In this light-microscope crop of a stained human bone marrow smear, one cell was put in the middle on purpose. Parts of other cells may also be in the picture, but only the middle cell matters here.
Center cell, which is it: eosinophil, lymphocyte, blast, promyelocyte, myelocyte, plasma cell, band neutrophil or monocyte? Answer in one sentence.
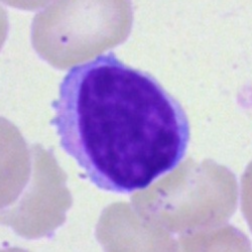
The central cell in this smear crop is a lymphocyte.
